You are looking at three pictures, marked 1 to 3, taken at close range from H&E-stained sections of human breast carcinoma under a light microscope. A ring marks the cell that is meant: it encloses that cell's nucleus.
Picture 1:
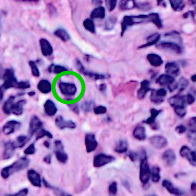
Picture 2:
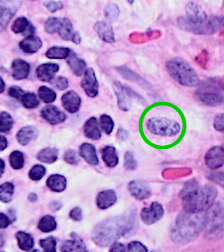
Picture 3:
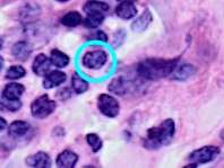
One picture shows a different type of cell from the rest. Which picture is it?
2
